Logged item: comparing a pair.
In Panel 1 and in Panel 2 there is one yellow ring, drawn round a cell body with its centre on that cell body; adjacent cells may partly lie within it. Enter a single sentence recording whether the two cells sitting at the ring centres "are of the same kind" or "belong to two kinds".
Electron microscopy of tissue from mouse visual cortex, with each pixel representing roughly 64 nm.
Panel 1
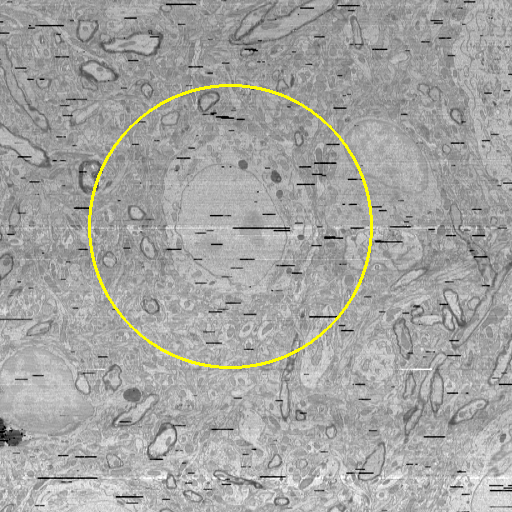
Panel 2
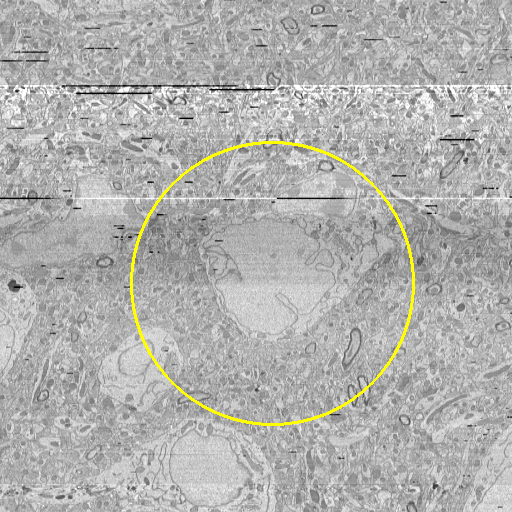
Logged: the cells centred in the rings of Panel 1 and Panel 2 belong to two kinds.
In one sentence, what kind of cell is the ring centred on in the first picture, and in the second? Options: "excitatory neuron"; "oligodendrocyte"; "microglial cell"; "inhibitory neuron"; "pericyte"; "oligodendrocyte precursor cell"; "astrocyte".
The cell at the centre of the second ring is an inhibitory neuron; the first ring's cell is an excitatory neuron.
